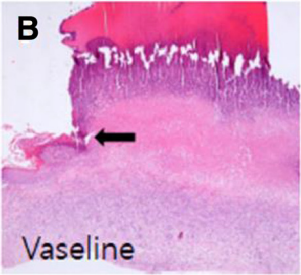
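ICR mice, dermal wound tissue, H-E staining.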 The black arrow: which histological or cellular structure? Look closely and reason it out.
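The arrow points at the tip of a thin epithelial layer beneath the edge of a thick scab. Beyond the tip the wound surface lacks an epithelial covering. The answer: epidermal leading edge.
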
